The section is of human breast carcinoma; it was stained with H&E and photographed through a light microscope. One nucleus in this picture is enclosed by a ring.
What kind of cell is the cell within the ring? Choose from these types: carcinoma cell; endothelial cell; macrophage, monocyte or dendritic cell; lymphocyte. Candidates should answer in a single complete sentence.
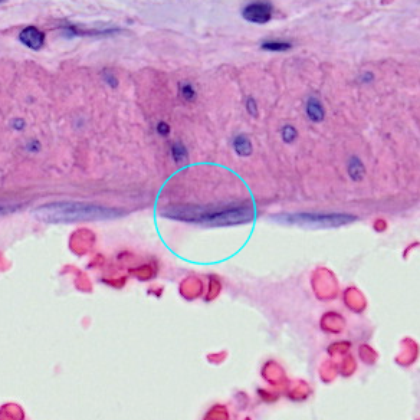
In this tissue section, the cell within the ring is to be classed as an endothelial cell.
